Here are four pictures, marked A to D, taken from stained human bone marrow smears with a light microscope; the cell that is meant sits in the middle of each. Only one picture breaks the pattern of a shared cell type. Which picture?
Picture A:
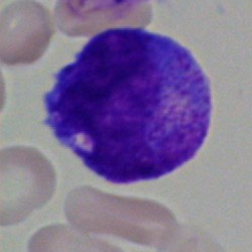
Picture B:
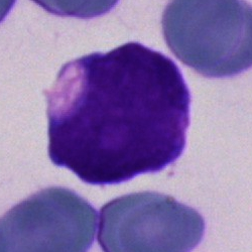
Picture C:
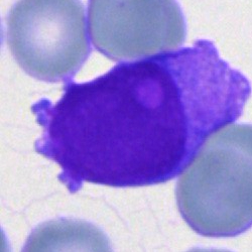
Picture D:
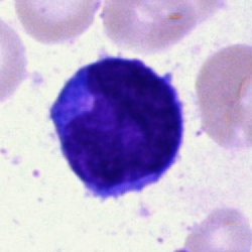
A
